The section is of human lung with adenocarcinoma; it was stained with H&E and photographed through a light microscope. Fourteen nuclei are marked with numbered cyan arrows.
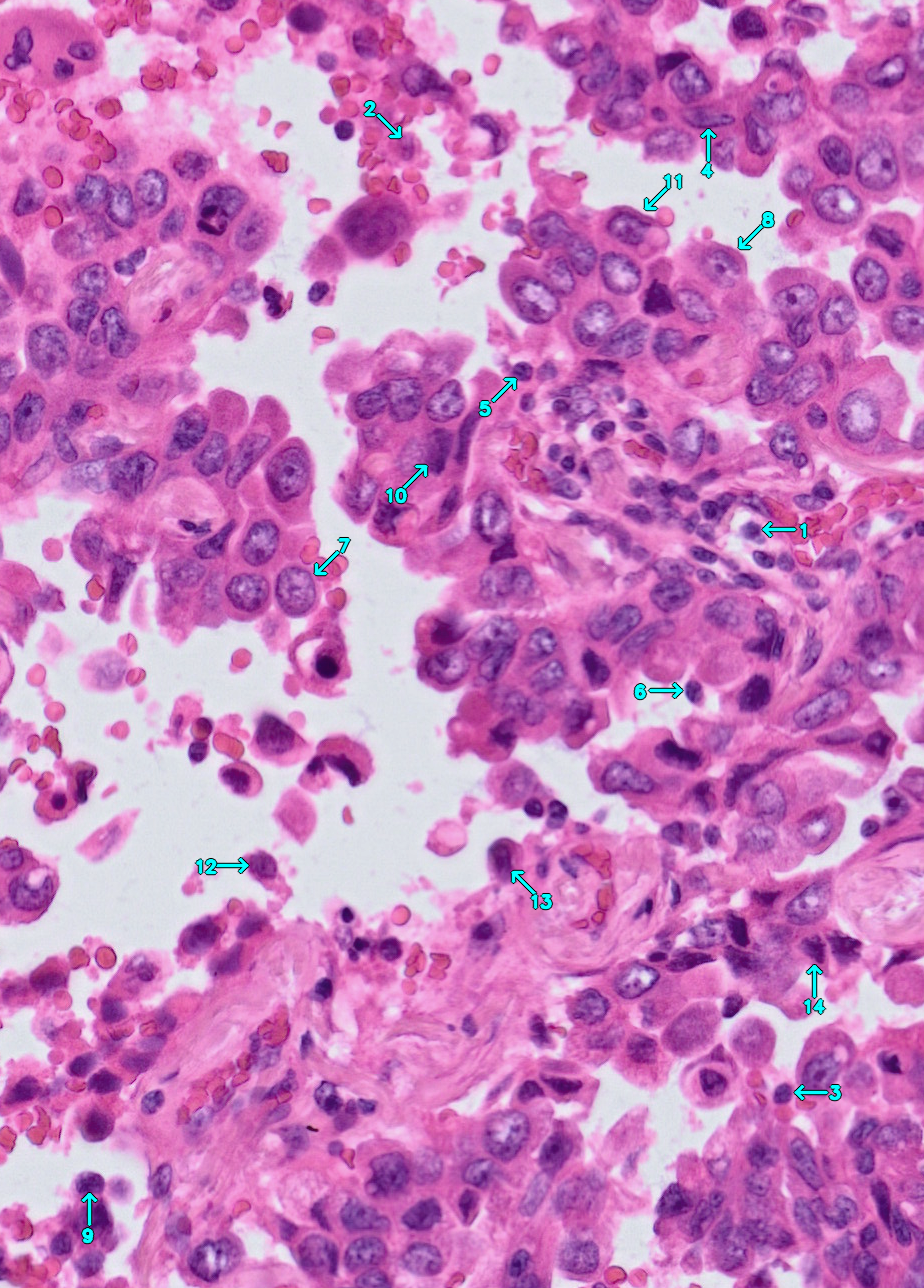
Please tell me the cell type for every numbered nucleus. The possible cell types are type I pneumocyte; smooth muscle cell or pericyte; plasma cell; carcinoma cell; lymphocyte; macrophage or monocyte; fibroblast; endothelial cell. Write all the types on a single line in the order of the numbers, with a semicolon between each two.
lymphocyte; macrophage or monocyte; lymphocyte; carcinoma cell; lymphocyte; lymphocyte; carcinoma cell; carcinoma cell; carcinoma cell; carcinoma cell; carcinoma cell; macrophage or monocyte; carcinoma cell; carcinoma cell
